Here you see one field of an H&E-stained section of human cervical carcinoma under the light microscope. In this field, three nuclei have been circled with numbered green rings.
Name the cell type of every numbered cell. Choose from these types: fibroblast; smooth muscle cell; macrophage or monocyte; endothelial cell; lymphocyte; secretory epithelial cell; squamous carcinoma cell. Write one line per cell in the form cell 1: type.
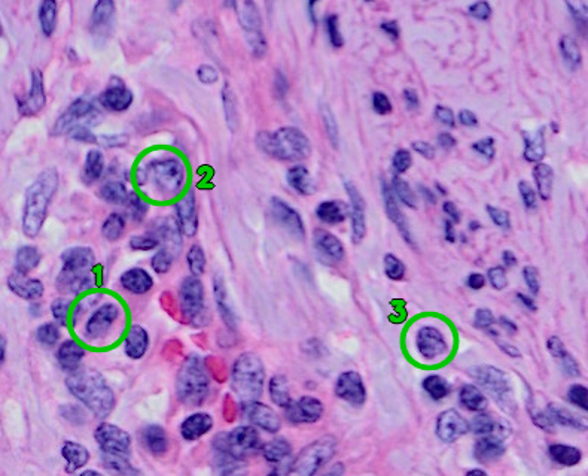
cell 1: lymphocyte
cell 2: endothelial cell
cell 3: lymphocyte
